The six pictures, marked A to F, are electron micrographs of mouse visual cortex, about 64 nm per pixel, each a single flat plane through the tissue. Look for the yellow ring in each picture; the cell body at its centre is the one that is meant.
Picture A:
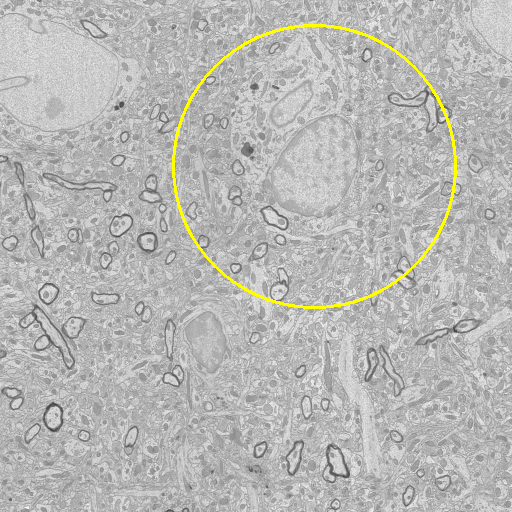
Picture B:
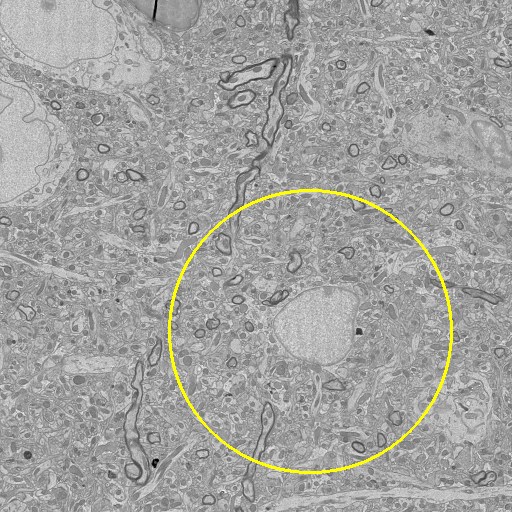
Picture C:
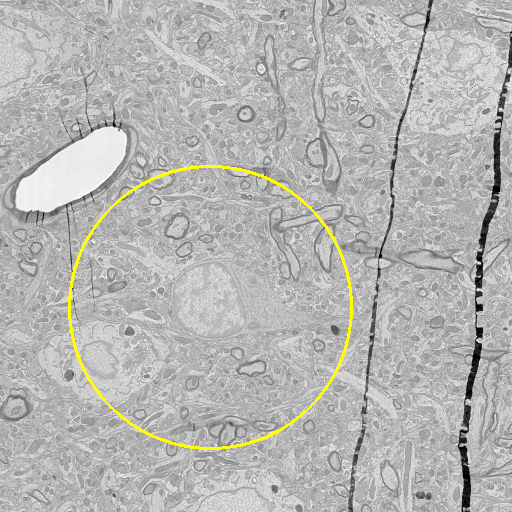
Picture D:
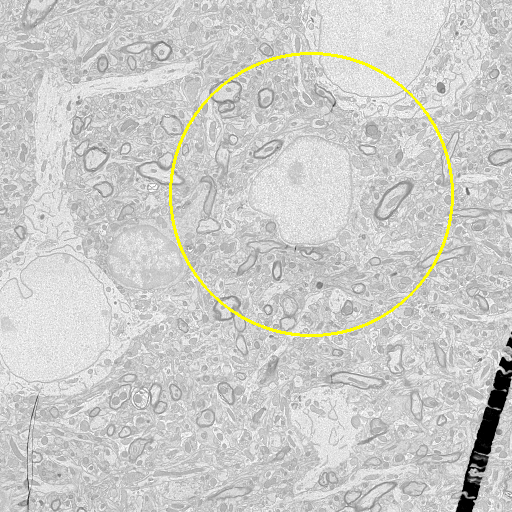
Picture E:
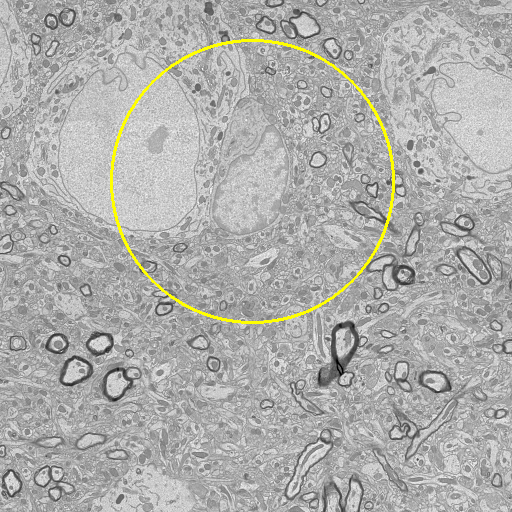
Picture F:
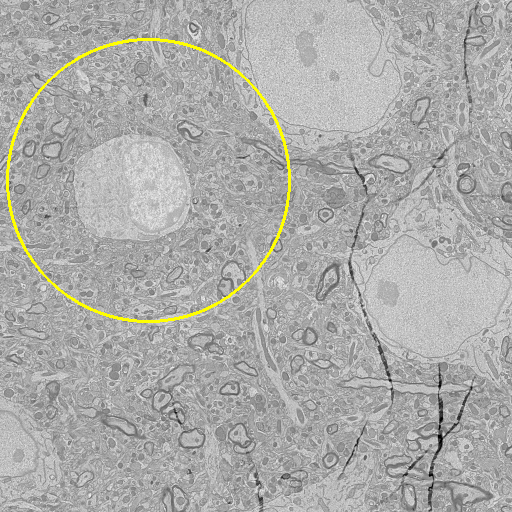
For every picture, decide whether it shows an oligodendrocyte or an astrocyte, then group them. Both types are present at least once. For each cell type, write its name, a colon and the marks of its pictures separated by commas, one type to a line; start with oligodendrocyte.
oligodendrocyte: A, C, E, F
astrocyte: B, D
